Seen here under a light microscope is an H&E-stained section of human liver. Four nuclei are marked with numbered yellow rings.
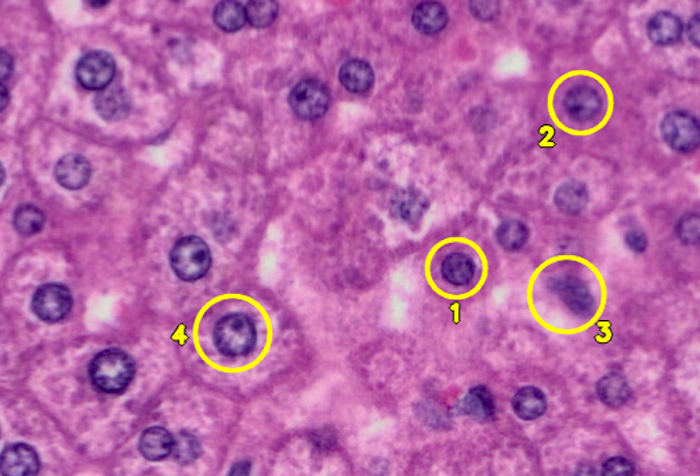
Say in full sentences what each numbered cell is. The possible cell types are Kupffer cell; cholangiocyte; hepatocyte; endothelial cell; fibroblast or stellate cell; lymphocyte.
Cells 1, 2 and 4 are hepatocytes. Cell 3 is a Kupffer cell.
